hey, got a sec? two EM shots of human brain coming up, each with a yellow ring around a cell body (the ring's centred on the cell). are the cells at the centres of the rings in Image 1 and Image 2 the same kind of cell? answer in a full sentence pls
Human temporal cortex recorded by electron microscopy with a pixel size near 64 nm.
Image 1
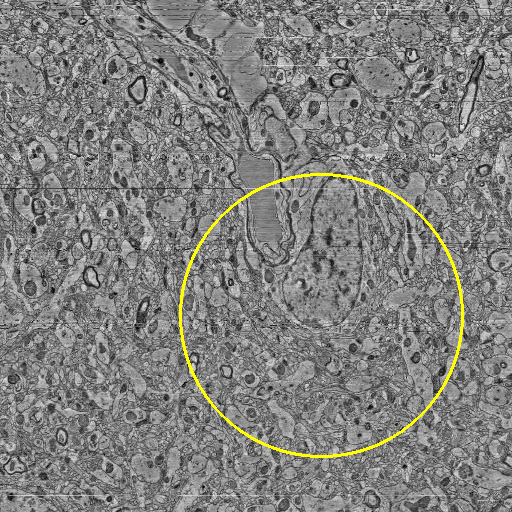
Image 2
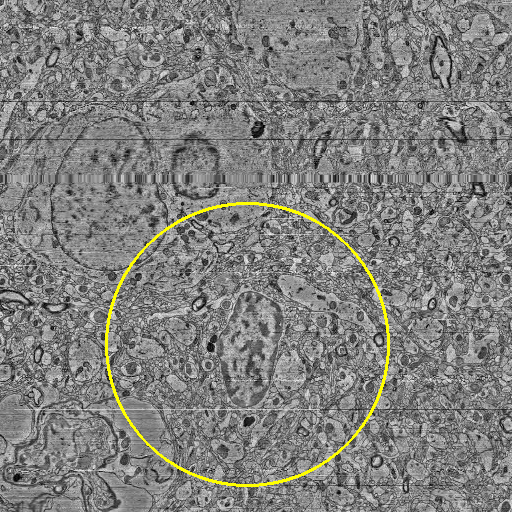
Yes, both are the same kind of cell.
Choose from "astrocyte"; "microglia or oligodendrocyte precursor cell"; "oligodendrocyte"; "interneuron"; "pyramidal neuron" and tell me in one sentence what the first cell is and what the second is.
The ring centre holds a microglial cell or oligodendrocyte precursor cell in each of the two pictures.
